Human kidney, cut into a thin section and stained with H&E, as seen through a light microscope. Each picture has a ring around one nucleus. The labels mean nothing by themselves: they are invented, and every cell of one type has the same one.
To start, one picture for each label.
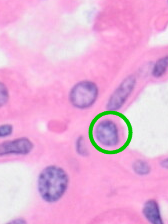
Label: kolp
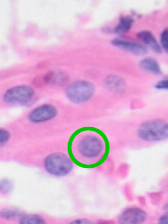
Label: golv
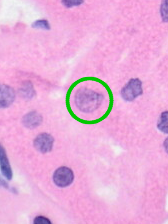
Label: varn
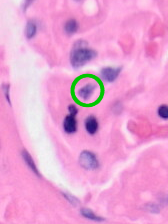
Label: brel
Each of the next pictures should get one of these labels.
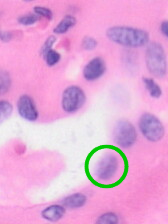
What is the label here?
kolp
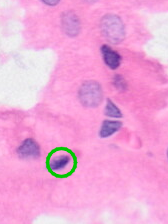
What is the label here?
brel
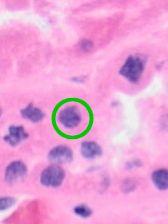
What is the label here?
golv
